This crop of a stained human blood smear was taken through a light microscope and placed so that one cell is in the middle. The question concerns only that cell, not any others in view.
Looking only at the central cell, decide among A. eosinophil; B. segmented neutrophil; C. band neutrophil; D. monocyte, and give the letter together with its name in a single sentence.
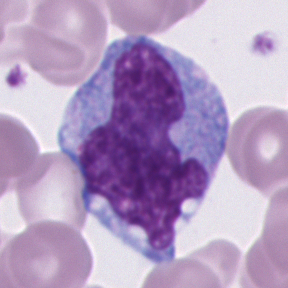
In this crop the middle cell is a monocyte, so option D is the correct answer.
